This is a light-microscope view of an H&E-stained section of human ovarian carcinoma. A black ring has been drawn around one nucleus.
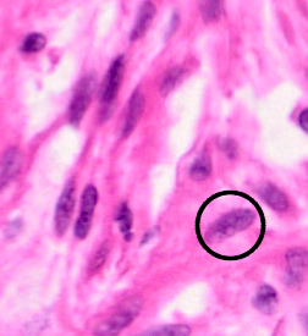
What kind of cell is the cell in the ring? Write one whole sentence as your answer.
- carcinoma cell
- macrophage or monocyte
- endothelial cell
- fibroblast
Speaking plainly, the cell in the ring is nothing other than a fibroblast.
